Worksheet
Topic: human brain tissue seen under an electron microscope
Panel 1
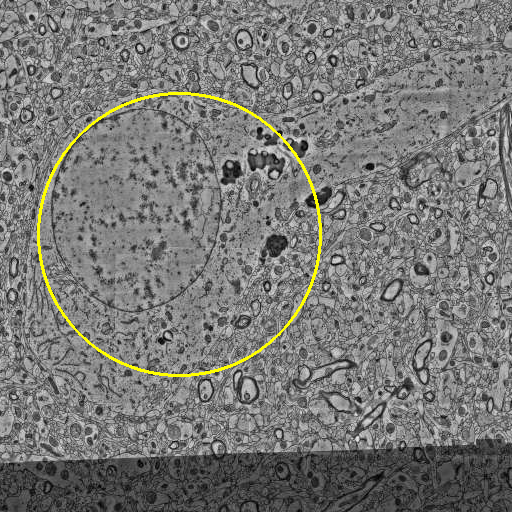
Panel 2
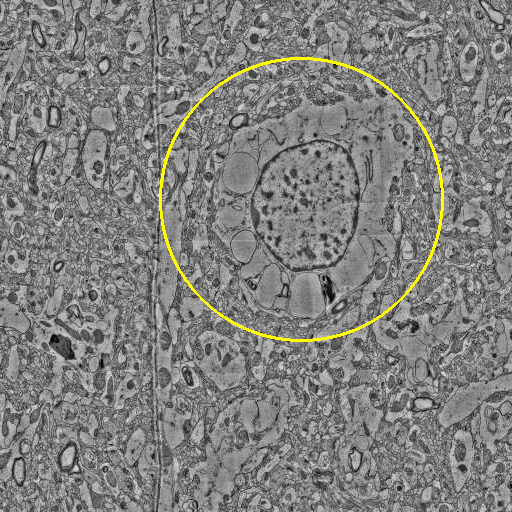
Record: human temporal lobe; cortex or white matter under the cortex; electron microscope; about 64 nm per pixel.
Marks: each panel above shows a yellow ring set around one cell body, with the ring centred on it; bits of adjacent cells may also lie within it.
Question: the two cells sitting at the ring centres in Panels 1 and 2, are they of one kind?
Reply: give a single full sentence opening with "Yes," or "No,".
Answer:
No, the two ring-centre cells in Panel 1 and Panel 2 are of two kinds.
